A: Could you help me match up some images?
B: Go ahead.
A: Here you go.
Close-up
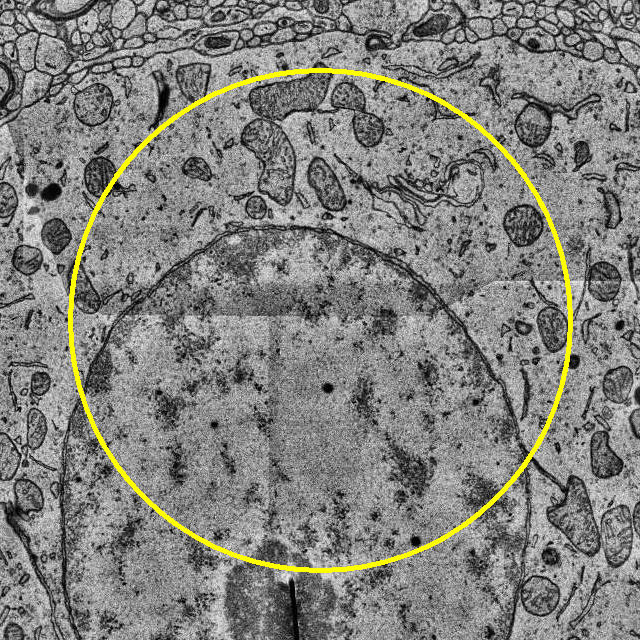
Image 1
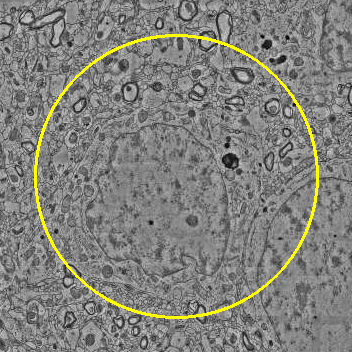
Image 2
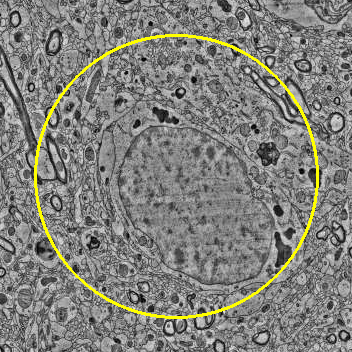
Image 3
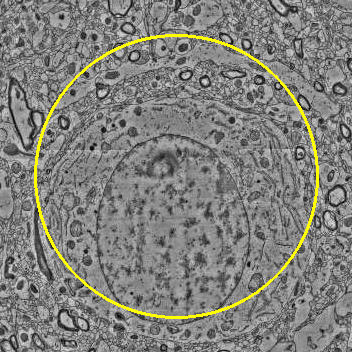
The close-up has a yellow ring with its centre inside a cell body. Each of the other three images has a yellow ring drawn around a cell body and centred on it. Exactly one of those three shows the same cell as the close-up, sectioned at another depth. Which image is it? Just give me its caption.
Image 3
